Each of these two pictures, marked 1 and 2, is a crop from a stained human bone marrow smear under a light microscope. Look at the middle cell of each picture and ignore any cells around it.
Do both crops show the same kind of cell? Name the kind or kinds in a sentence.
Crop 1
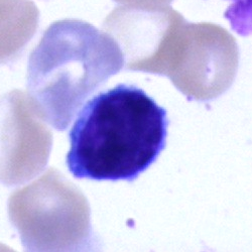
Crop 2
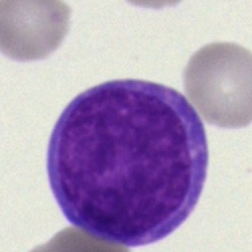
No, the labels go like this: crop 1 is a lymphocyte and crop 2 is a blast.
